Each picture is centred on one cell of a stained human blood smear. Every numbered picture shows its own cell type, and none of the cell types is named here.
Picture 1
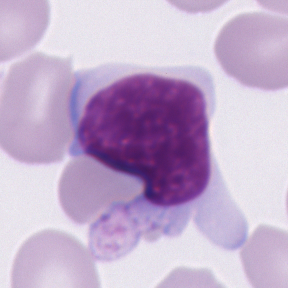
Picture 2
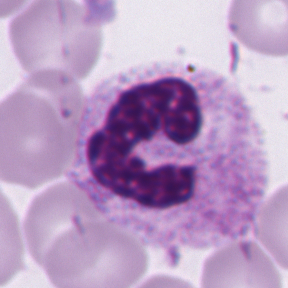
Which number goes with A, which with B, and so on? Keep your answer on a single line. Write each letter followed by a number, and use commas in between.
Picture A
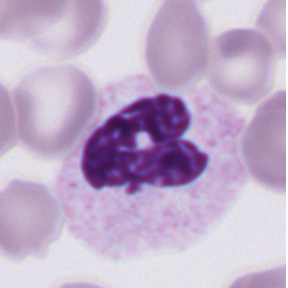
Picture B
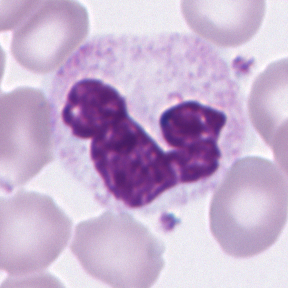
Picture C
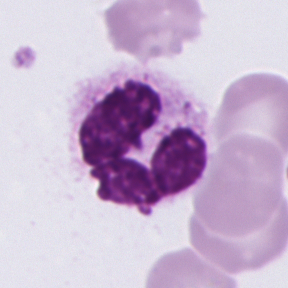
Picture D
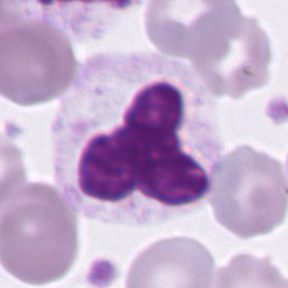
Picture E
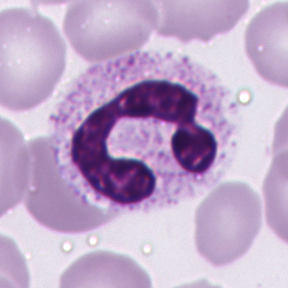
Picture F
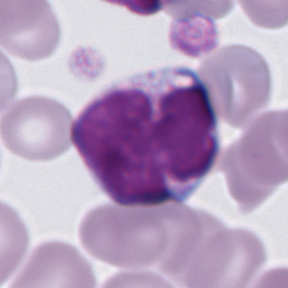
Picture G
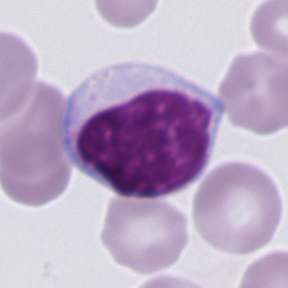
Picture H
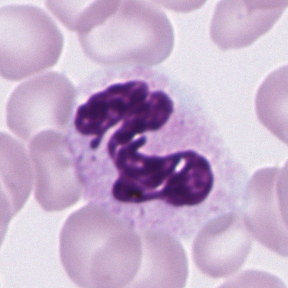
A 2, B 2, C 2, D 2, E 2, F 1, G 1, H 2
